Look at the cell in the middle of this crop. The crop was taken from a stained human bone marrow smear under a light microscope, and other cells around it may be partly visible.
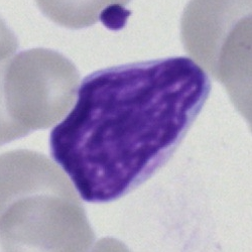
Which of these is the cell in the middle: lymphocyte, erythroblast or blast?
blast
